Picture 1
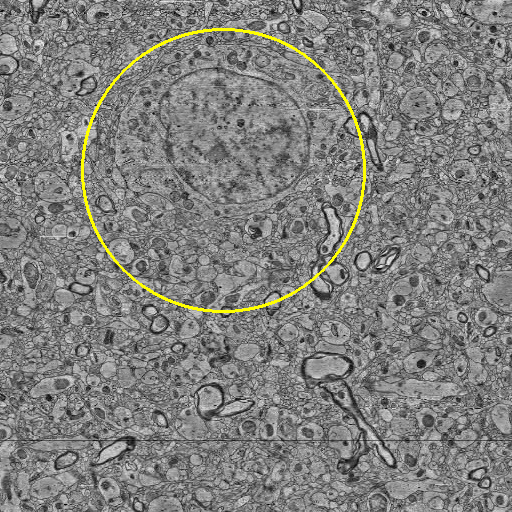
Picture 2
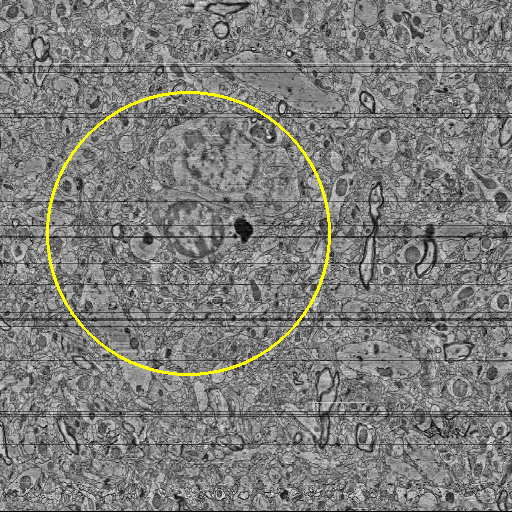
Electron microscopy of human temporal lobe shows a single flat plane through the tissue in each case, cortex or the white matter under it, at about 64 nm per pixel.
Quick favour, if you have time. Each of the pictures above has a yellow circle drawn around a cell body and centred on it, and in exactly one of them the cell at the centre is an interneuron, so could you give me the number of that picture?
1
